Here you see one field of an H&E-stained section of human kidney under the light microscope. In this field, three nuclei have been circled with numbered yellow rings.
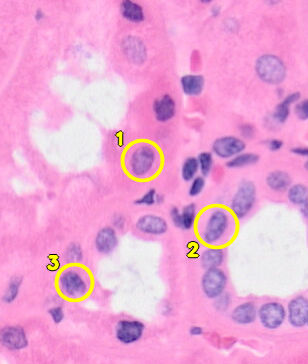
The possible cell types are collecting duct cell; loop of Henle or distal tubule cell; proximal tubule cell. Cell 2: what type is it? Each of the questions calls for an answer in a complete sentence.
The mark numbered 2 indicates the nucleus of a collecting duct cell.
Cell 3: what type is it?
The label 3 in this section denotes a loop of Henle or distal tubule cell.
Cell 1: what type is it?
That cell with number 1 is a proximal tubule cell.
